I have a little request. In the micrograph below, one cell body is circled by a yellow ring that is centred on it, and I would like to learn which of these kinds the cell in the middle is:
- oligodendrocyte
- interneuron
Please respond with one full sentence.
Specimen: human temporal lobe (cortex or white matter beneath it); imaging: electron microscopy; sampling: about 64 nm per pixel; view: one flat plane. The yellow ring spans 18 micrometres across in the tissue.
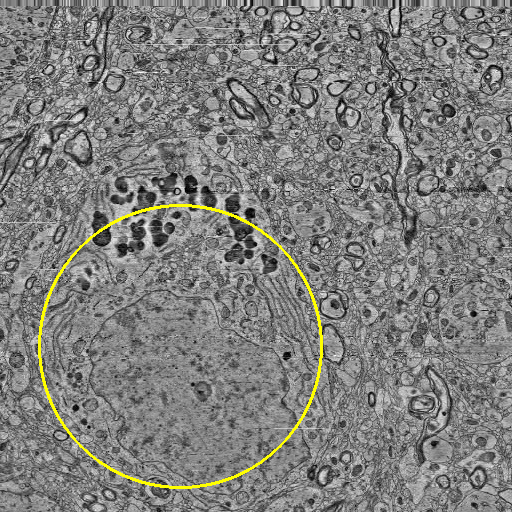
The cell sitting in the middle of the yellow ring in the micrograph is an interneuron.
